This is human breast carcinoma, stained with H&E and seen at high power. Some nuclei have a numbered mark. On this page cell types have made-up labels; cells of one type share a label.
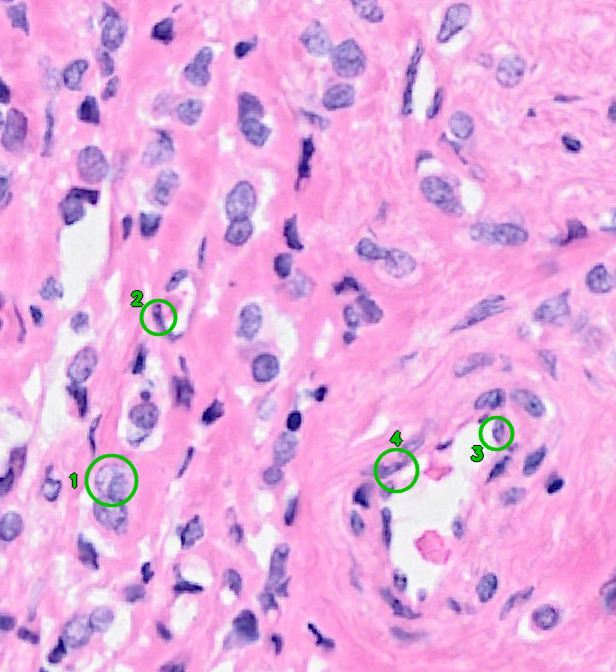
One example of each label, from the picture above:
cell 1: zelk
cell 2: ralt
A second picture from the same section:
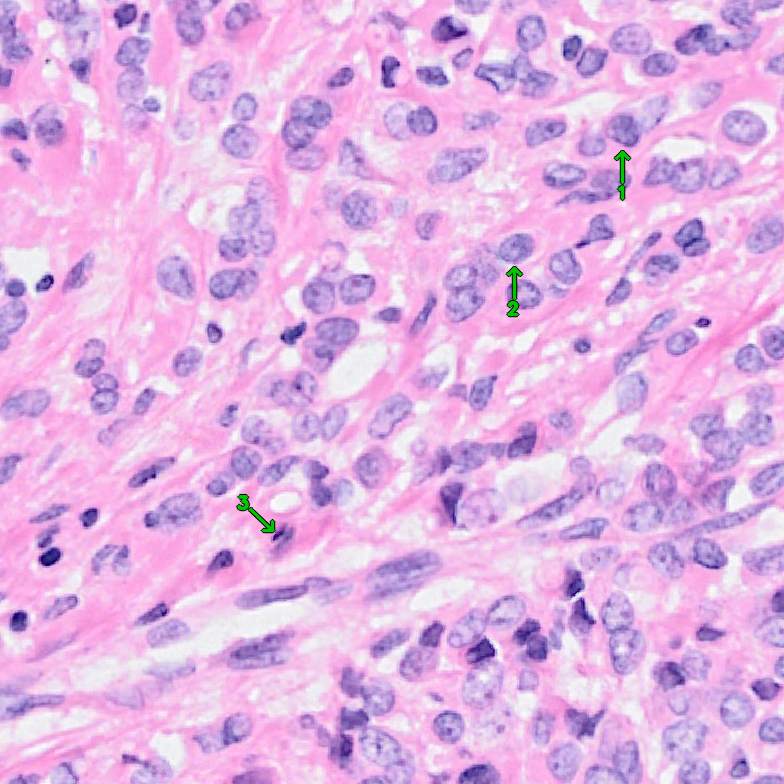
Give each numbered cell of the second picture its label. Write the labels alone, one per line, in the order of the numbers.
zelk
zelk
ralt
